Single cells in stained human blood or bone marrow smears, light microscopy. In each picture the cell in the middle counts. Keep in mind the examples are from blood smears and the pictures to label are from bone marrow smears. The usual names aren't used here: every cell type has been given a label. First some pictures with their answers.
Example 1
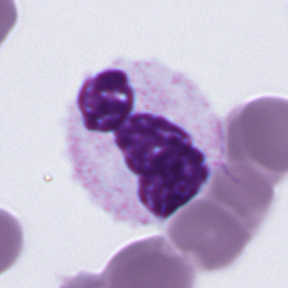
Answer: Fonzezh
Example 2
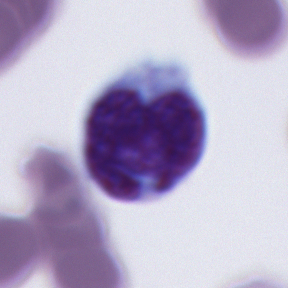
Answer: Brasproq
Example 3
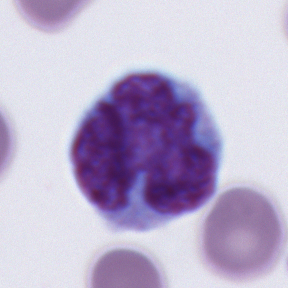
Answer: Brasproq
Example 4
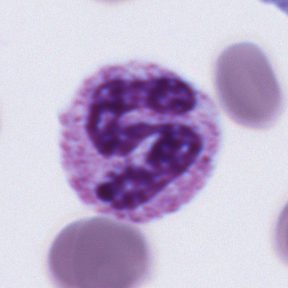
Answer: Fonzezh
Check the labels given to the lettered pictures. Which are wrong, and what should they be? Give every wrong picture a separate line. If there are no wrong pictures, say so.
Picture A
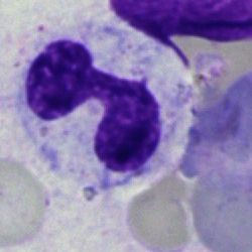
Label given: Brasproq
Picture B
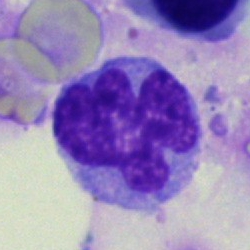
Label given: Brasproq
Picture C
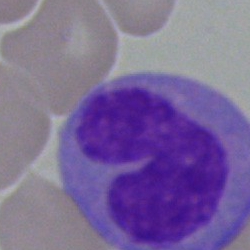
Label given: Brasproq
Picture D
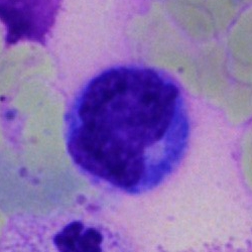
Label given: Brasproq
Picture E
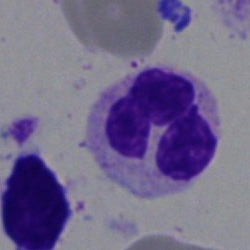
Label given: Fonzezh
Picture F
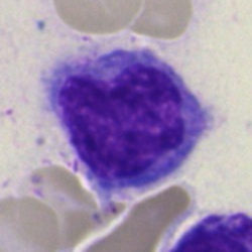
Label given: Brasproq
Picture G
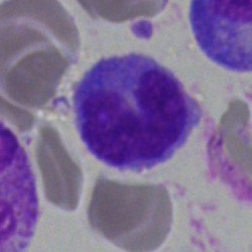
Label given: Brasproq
A: Fonzezh, not Brasproq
